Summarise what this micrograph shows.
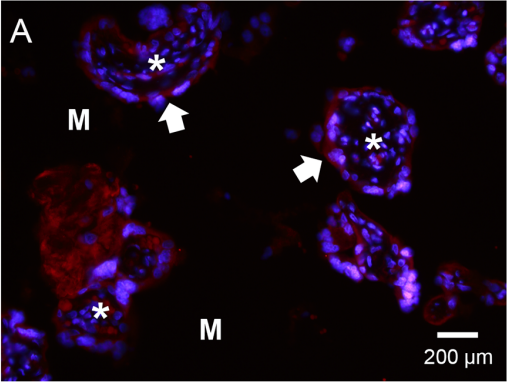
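This is a section of placental villi cut in cross-section, each rounded villus floating in the dark intervillous space. Blue nuclei crowd the villus cores, and a thin outer covering layer with its own row of nuclei forms the rim of each villus, where the arrows point. In some villi this outer layer shows a faint red rim, while in others it does not. At the lower left a larger patch of red material lies at the edge of a villus, spreading beyond its outline.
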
